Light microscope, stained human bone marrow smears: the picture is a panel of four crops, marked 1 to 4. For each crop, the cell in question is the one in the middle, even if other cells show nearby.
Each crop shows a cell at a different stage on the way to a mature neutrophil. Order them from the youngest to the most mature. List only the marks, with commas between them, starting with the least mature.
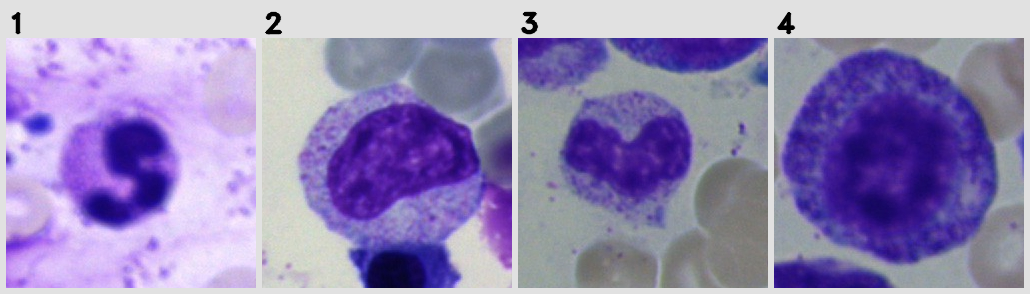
4, 2, 3, 1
